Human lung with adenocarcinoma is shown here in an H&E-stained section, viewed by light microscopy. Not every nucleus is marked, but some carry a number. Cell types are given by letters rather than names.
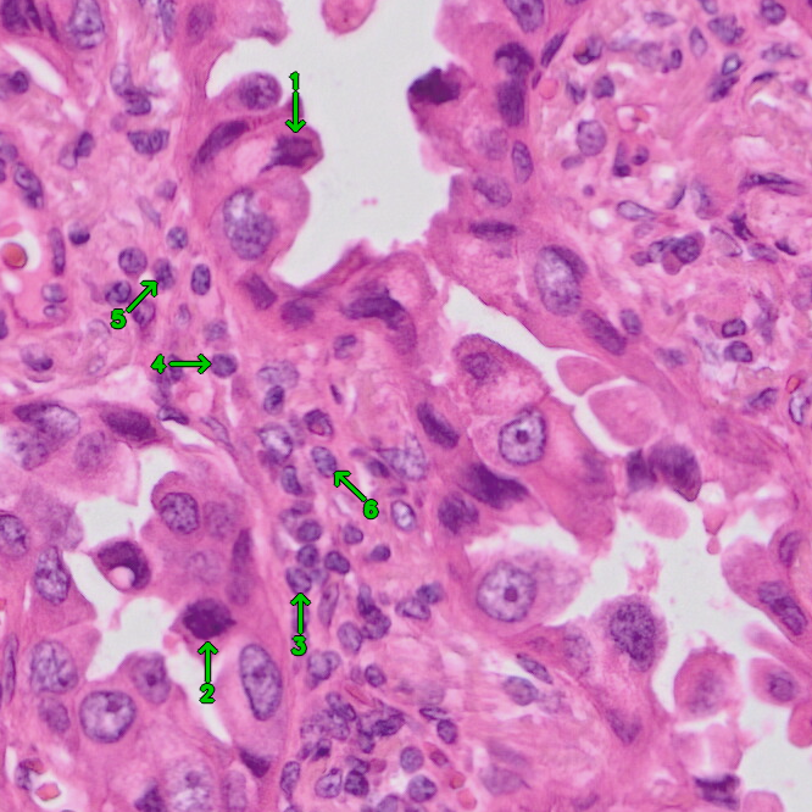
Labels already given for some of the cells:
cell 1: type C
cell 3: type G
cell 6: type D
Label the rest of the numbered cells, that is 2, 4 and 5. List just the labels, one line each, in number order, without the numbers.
type C
type G
type G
